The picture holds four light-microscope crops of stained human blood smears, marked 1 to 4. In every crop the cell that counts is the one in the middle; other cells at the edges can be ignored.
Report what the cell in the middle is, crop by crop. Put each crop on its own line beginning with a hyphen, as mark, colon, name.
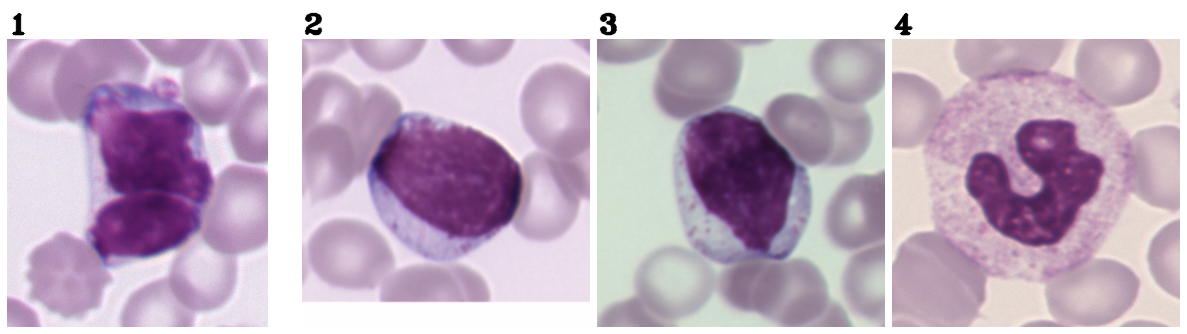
- 1: large granular lymphocyte
- 2: large granular lymphocyte
- 3: large granular lymphocyte
- 4: segmented neutrophil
